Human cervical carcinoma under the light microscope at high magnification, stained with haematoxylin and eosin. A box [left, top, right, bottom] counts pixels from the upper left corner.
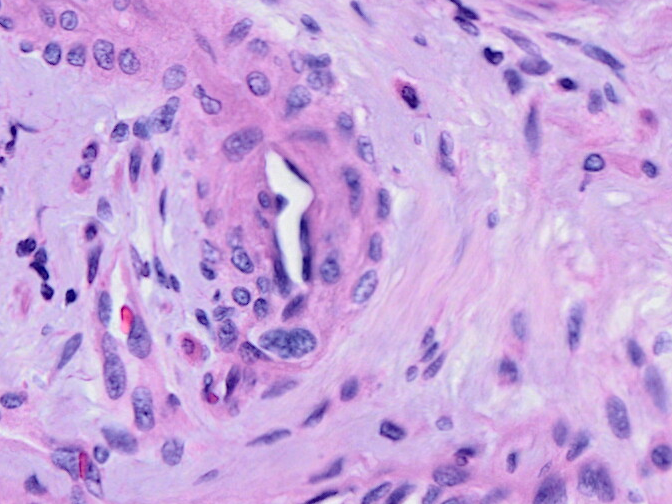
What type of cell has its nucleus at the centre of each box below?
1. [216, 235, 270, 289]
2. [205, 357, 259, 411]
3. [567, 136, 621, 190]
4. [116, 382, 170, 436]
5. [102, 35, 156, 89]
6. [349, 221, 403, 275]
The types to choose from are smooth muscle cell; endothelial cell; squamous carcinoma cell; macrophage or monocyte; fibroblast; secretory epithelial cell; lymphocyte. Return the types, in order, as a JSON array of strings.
["smooth muscle cell", "endothelial cell", "smooth muscle cell", "endothelial cell", "smooth muscle cell", "smooth muscle cell"]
